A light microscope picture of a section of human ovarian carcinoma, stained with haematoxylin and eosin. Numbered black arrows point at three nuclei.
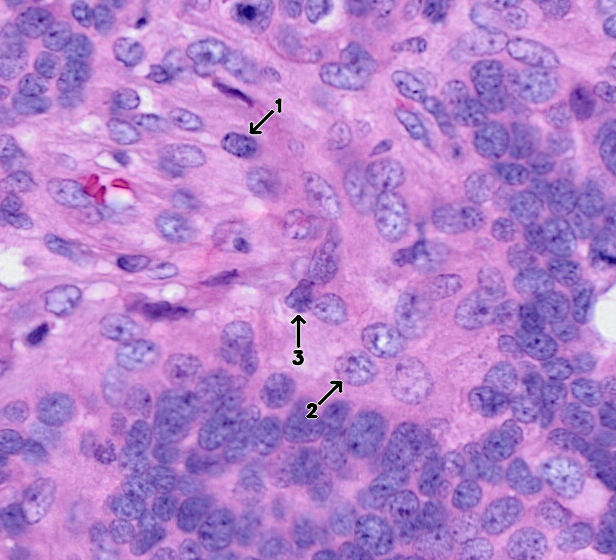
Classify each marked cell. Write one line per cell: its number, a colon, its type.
1: macrophage or monocyte
2: fibroblast
3: macrophage or monocyte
